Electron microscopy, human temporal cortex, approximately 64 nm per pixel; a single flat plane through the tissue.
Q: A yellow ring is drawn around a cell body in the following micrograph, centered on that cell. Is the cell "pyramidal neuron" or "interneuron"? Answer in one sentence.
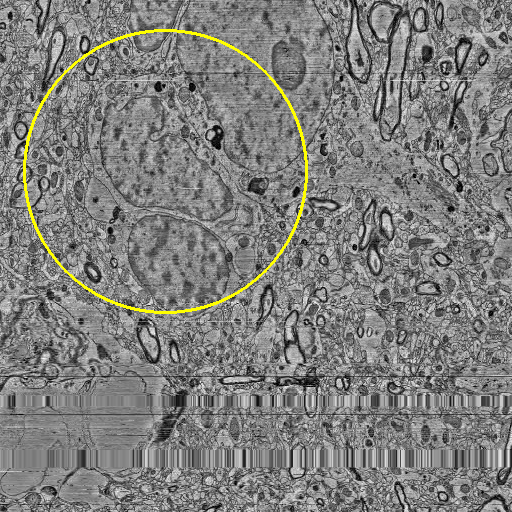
The cell in the center of the ring is an interneuron.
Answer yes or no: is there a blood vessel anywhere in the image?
Yes, one appears.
